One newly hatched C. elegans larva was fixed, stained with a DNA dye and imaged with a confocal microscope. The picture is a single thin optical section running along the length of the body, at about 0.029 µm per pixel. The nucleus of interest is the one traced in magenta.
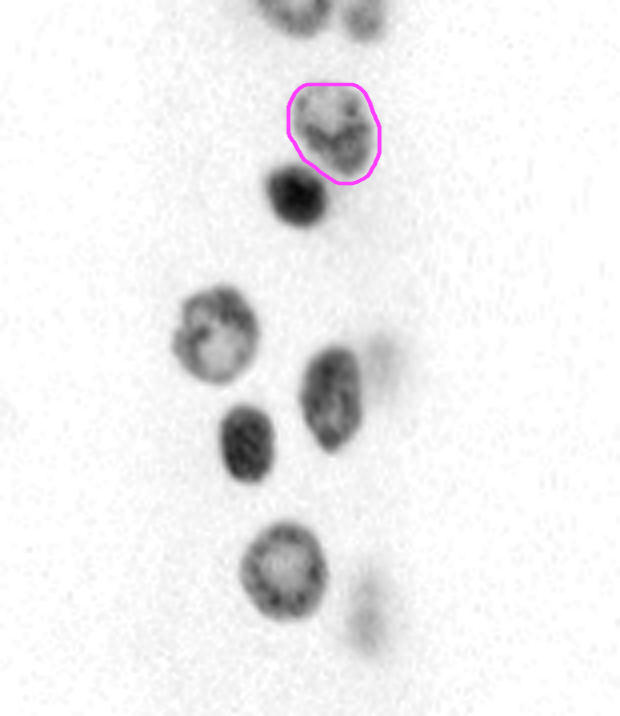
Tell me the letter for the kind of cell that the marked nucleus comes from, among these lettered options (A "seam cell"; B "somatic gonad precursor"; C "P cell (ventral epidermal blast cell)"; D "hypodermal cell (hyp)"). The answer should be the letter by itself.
B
